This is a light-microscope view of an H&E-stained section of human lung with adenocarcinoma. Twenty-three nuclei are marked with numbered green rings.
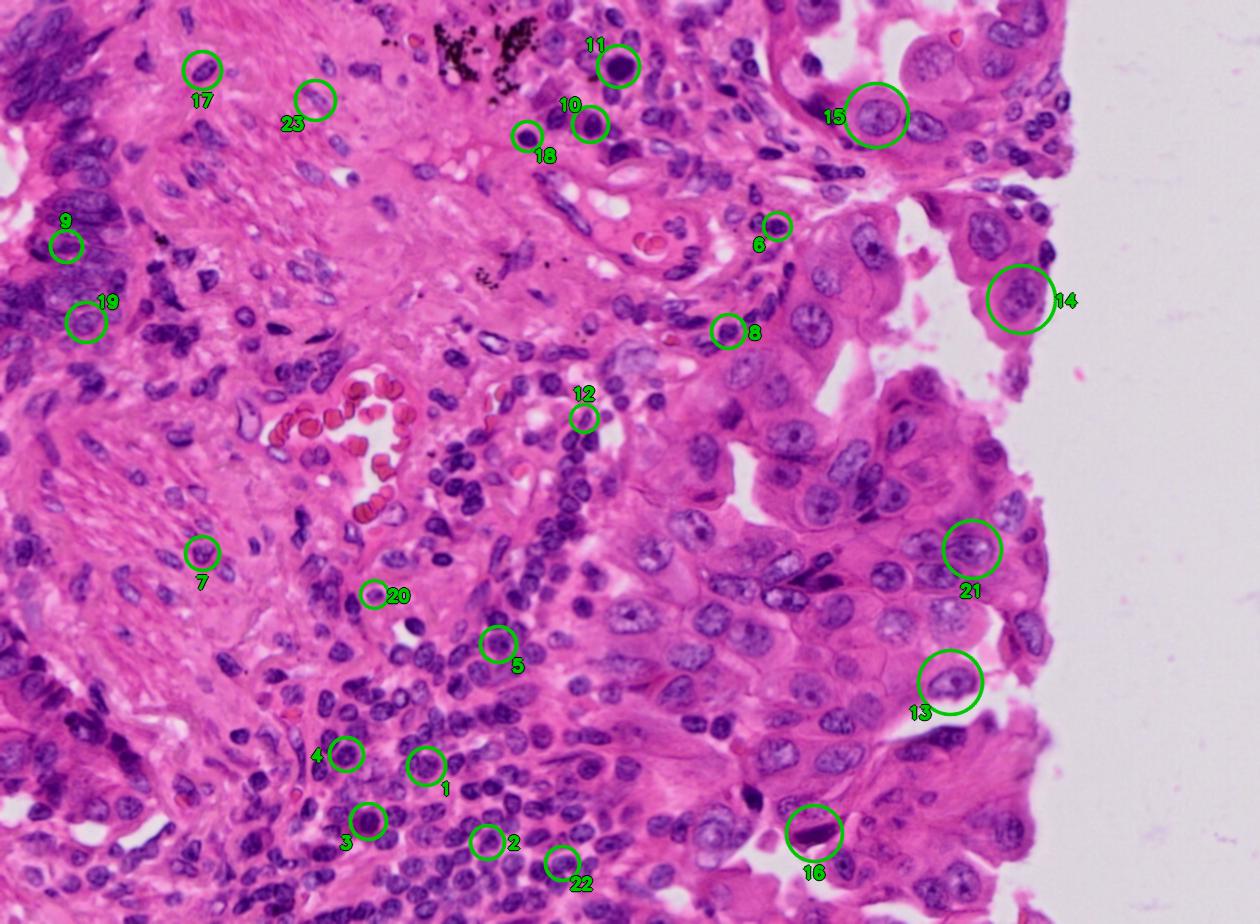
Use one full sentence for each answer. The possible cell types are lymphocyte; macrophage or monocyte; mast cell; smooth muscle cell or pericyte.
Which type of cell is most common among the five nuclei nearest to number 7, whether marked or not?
Most of the five nuclei nearest to number 7 are those of smooth muscle cells or pericytes.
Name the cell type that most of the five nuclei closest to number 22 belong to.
Most of the five nuclei nearest to number 22 are those of lymphocytes.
